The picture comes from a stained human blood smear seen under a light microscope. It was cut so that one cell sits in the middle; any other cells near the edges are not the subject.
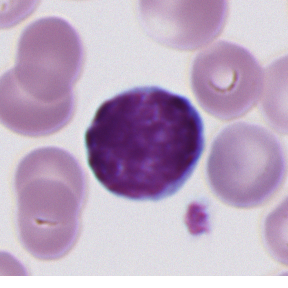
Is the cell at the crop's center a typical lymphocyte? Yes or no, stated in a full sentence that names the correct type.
Yes, the cell lying in the middle is a typical lymphocyte.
